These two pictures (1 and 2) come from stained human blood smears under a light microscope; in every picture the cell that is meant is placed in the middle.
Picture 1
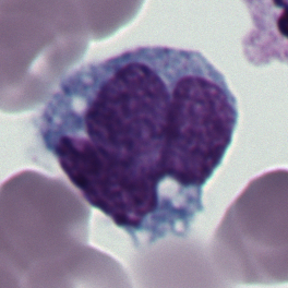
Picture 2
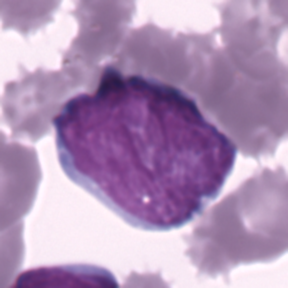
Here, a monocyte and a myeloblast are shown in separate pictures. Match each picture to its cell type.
1: monocyte
2: myeloblast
